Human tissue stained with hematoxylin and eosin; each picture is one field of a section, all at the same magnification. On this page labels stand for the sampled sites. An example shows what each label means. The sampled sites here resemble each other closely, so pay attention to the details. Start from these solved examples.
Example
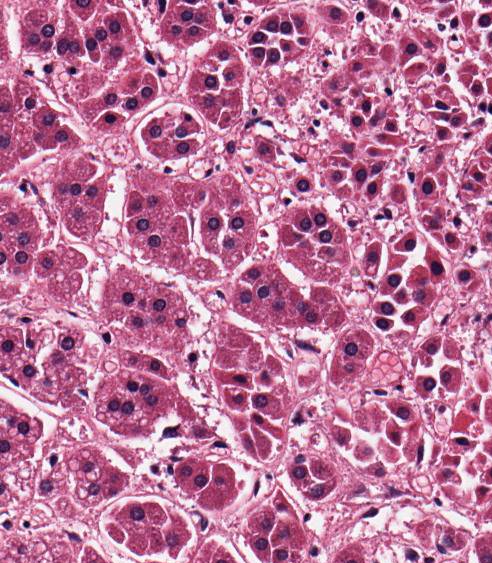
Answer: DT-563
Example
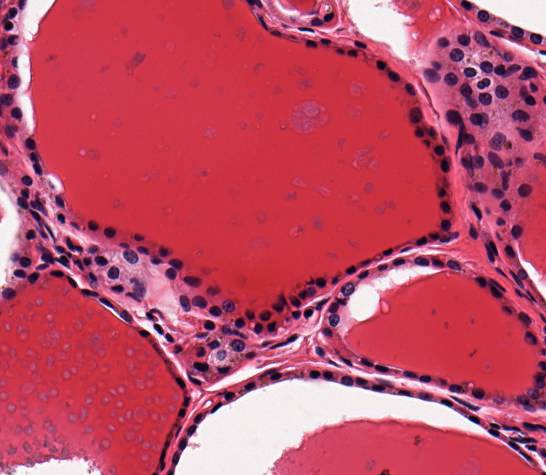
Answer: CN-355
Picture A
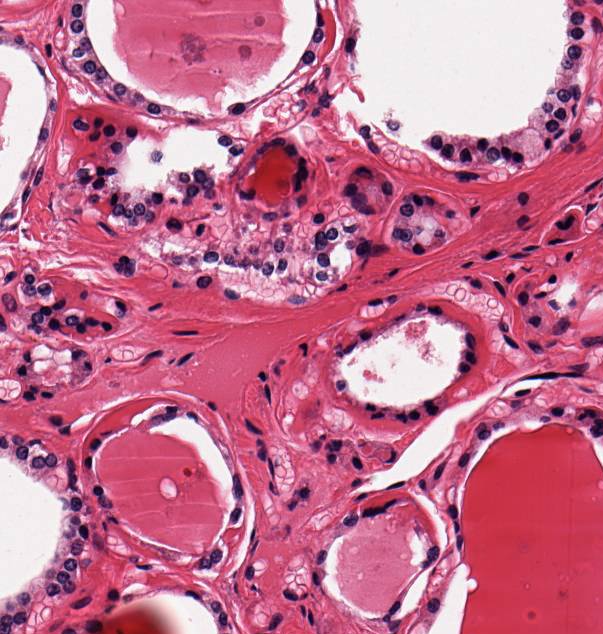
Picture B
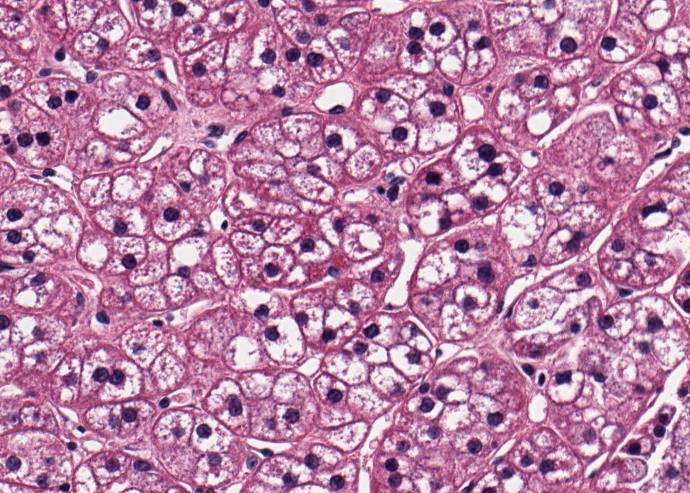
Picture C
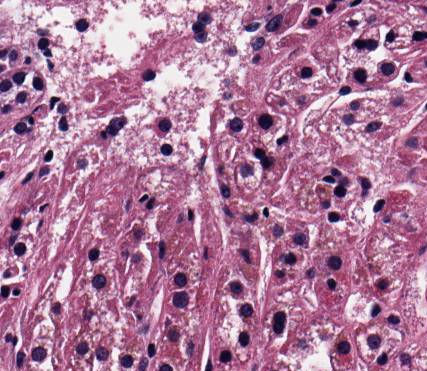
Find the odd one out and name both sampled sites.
Odd one out: A (CN-355). The rest: DT-563.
